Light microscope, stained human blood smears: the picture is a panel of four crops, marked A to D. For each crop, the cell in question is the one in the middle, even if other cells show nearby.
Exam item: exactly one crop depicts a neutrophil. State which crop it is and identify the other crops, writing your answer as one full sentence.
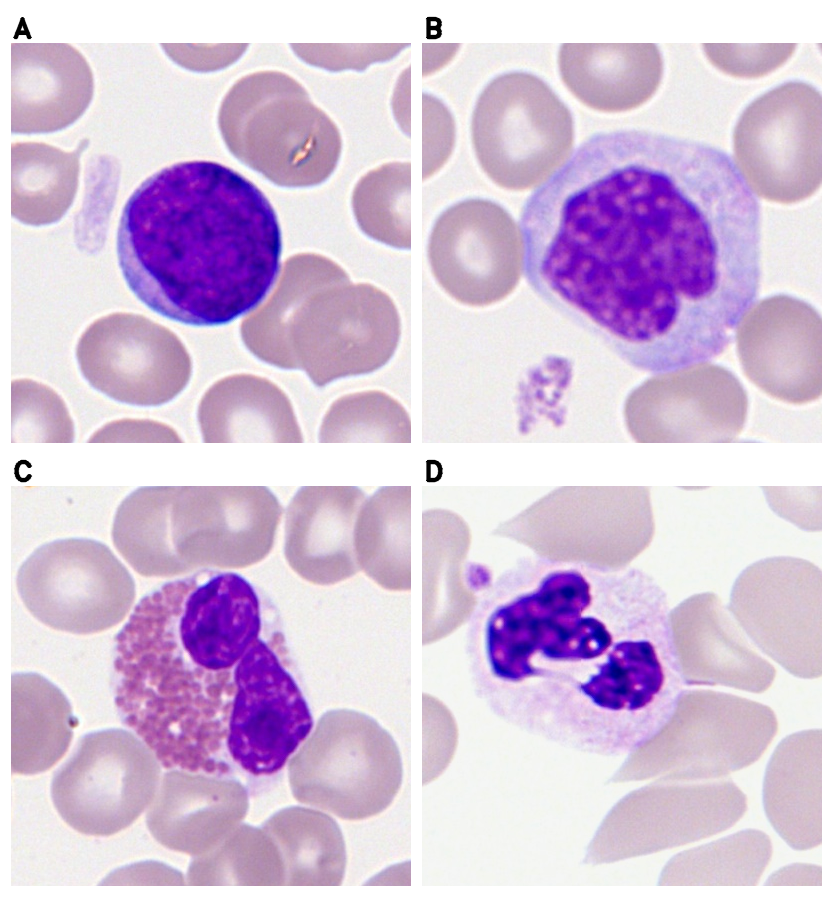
In crop D there is a neutrophil, while crop A is a blast, crop B is a monocyte and crop C is an eosinophil.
